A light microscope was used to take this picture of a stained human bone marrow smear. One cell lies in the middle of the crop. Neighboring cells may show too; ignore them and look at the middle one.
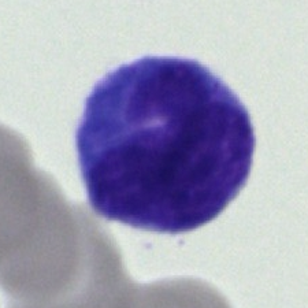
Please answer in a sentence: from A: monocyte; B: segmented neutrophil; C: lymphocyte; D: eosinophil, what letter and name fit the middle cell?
Option A is the correct one; it names the central cell as a monocyte.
